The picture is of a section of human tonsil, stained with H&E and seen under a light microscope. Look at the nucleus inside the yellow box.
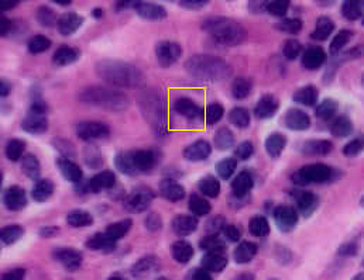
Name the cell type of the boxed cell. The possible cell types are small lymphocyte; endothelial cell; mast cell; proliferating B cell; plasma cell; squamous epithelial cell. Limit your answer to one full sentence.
The category to which the boxed cell belongs is that of an endothelial cell.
